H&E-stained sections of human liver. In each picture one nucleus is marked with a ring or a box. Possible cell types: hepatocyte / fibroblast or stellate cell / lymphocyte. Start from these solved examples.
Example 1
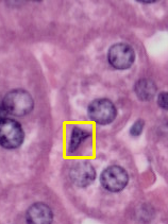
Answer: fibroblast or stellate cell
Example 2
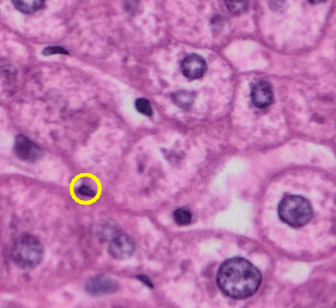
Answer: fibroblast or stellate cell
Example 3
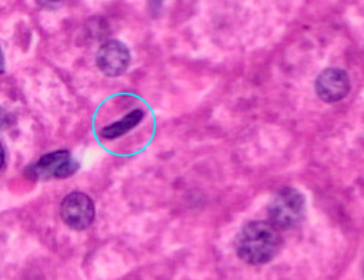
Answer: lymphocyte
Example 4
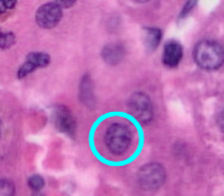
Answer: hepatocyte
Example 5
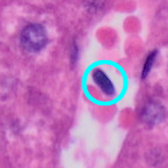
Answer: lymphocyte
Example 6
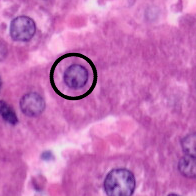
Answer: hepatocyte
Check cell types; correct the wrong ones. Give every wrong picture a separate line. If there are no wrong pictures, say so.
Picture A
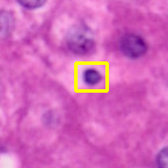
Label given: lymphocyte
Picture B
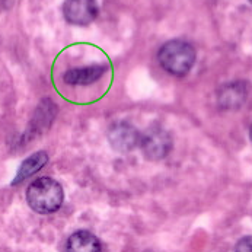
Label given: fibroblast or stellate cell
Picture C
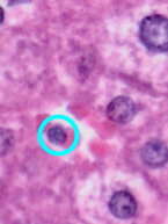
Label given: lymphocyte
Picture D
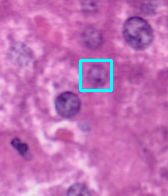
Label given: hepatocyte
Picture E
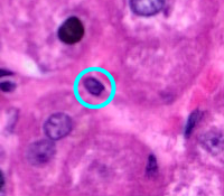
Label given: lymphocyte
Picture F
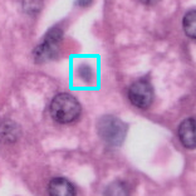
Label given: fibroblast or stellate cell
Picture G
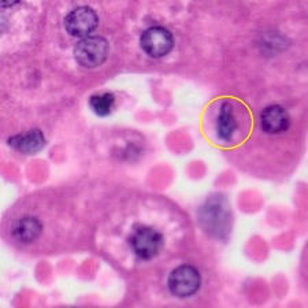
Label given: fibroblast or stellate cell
F is labelled fibroblast or stellate cell; correct label: lymphocyte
